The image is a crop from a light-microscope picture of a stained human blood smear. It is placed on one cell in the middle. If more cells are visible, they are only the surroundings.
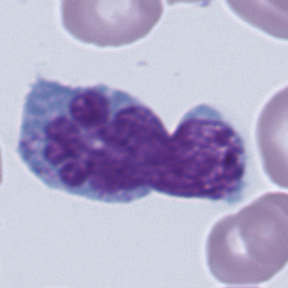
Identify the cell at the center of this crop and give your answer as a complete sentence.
The cell shown in the center of this light-microscope crop is a monocyte.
